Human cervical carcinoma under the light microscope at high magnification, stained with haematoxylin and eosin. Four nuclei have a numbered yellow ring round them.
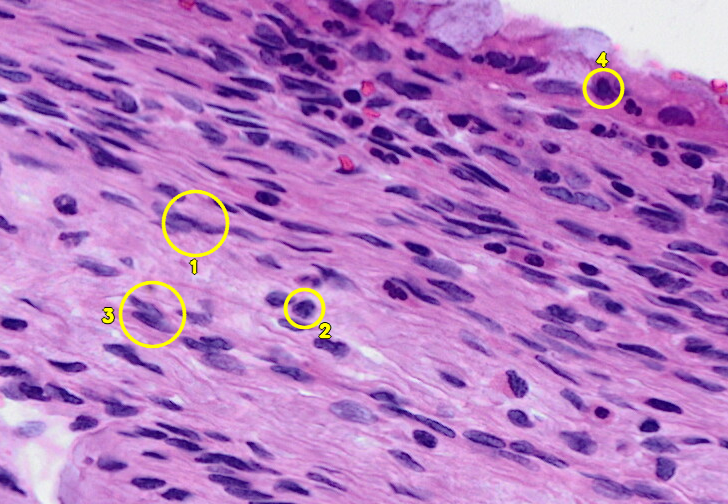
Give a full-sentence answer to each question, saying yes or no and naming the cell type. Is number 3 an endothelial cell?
Yes, the cell whose number is 3 is an endothelial cell.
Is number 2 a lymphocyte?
Yes, the cell tagged with the number 2 is a lymphocyte.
